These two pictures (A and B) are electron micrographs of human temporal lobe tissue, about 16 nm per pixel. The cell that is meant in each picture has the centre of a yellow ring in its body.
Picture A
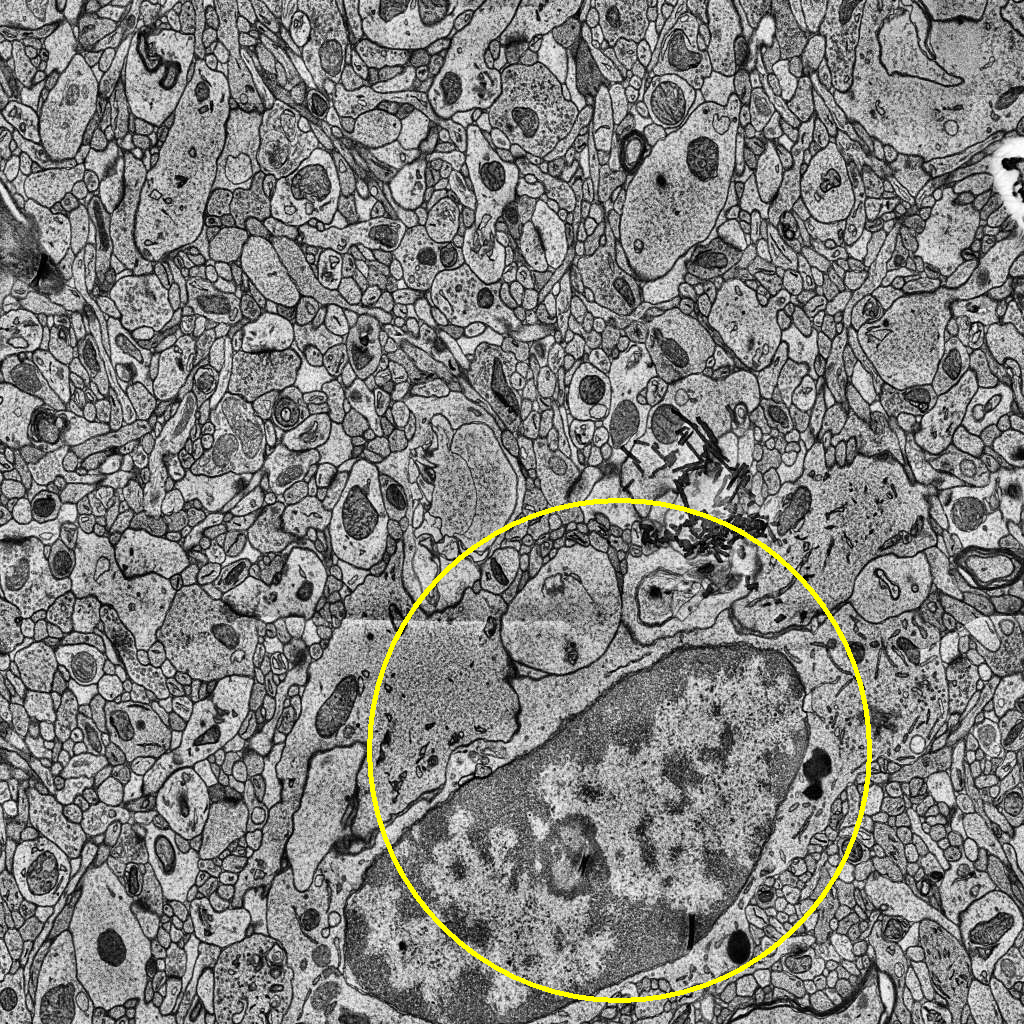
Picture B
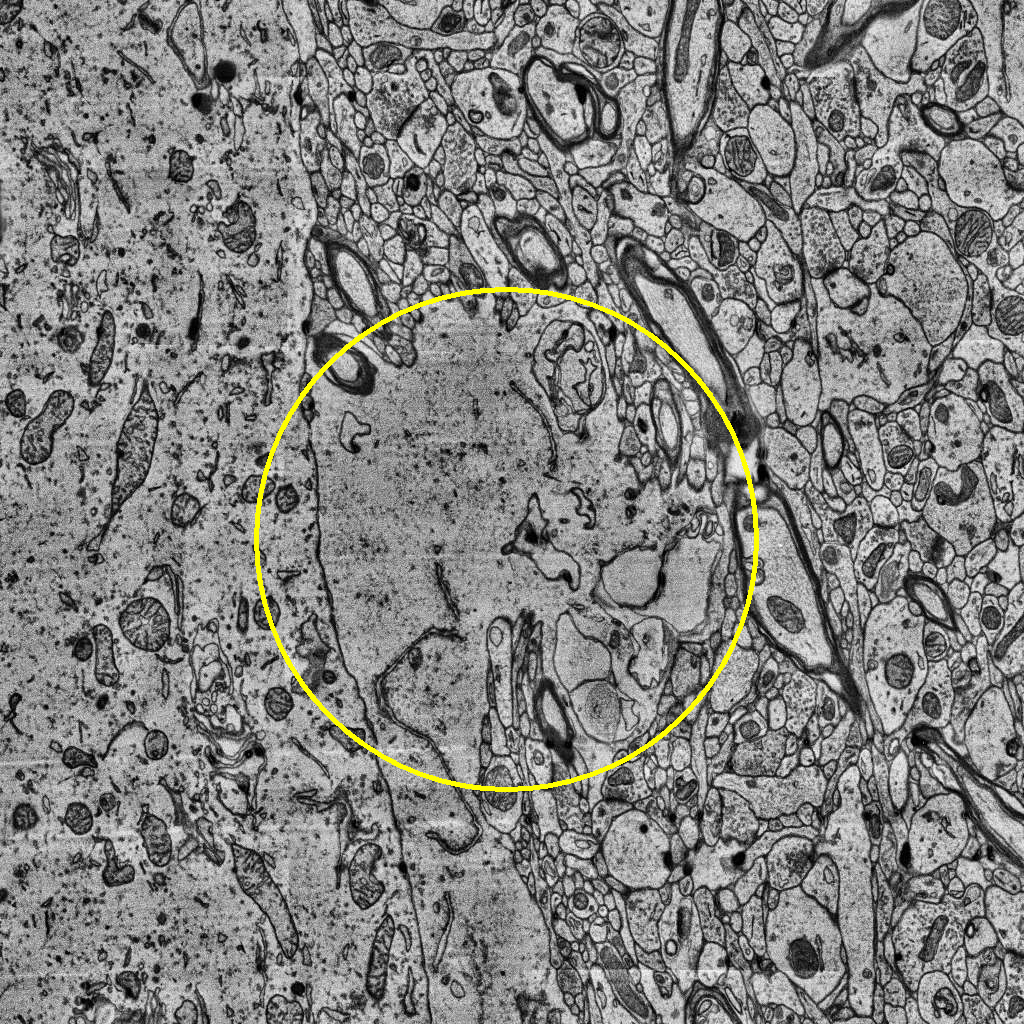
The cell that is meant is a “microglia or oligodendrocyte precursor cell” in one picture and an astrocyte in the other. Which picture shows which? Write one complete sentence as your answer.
The cell in picture A is a “microglia or oligodendrocyte precursor cell”, and the one in picture B is an astrocyte.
